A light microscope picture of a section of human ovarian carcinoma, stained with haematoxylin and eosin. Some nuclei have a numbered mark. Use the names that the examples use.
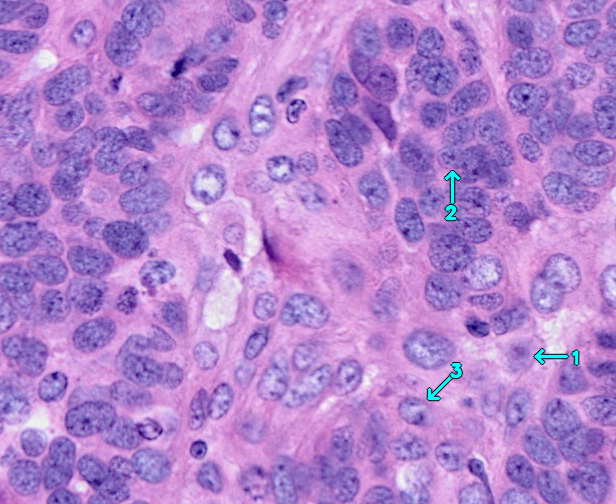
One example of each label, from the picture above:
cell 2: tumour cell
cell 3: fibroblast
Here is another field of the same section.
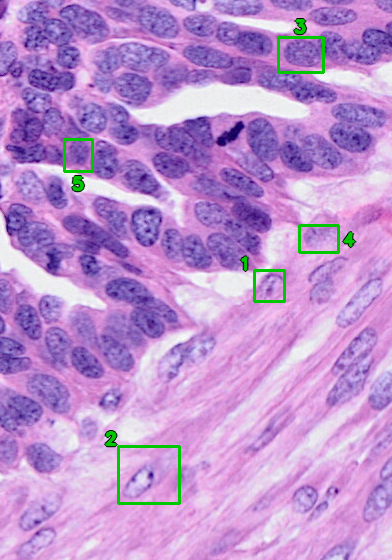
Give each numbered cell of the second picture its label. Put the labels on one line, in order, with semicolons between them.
fibroblast; fibroblast; tumour cell; fibroblast; tumour cell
